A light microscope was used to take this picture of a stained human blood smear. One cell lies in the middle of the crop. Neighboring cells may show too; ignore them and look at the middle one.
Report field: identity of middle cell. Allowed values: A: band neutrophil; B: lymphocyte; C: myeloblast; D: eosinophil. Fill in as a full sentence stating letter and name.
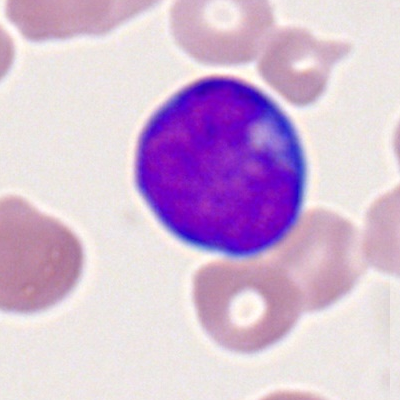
Since the middle cell is a myeloblast, option C is the right one.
